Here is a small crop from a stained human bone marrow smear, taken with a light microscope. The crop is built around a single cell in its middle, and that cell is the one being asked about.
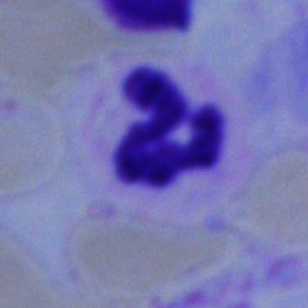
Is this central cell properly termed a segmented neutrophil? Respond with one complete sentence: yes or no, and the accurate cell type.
Yes, the cell in the middle is recognised as a segmented neutrophil.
